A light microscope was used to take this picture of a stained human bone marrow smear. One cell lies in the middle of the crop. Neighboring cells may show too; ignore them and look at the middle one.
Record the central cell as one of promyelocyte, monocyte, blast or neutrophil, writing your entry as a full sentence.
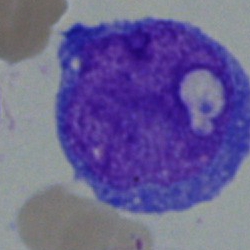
On this slide crop, the central cell is a blast.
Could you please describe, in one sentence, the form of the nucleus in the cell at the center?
What stands out is a nucleus forming one compact round, oval or kidney-shaped mass.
